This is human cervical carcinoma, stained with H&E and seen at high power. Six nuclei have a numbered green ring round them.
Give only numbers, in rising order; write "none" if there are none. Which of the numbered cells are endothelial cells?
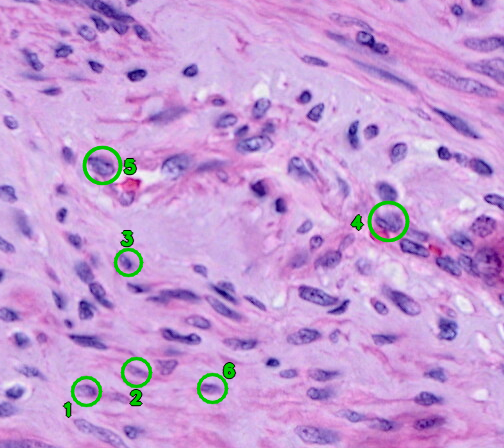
4, 5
